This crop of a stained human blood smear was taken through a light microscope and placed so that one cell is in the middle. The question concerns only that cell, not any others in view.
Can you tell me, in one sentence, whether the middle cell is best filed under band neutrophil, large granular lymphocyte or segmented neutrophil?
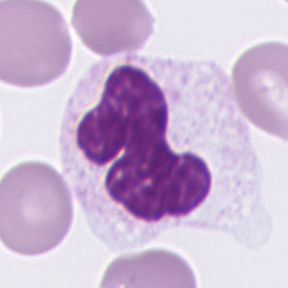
The cell around which this crop is centred is a band neutrophil.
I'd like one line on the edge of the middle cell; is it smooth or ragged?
Along its border, the cell is uneven, whether by ragged stretches or by projections.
